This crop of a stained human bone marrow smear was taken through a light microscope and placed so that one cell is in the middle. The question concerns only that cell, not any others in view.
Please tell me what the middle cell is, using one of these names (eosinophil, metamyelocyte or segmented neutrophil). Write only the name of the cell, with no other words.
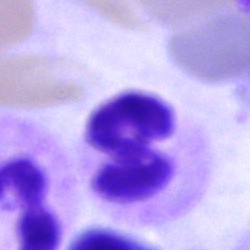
segmented neutrophil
